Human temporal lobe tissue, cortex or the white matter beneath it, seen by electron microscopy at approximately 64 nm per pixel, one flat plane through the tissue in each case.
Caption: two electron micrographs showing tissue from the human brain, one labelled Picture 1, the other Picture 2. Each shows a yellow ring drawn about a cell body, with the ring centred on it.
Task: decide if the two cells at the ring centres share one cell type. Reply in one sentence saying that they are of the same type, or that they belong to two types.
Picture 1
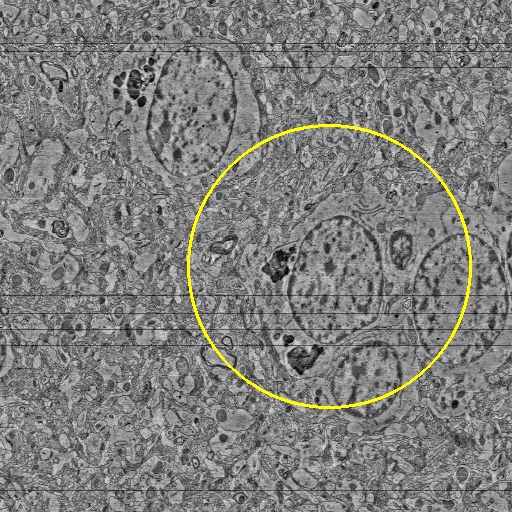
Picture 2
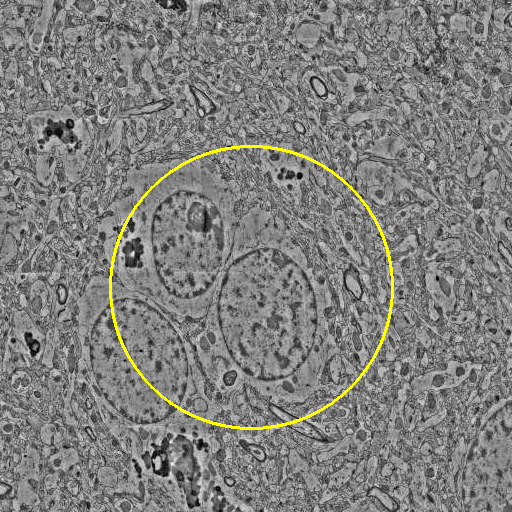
The cells at the ring centres in Picture 1 and Picture 2 are of the same type.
